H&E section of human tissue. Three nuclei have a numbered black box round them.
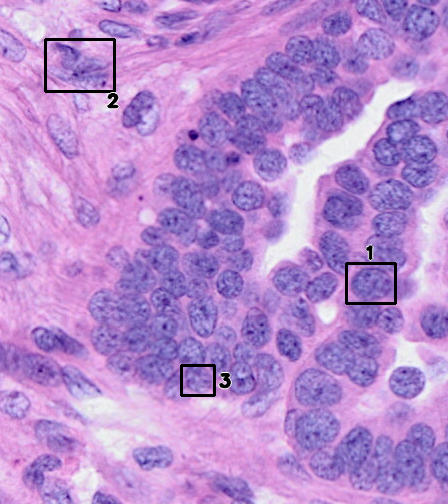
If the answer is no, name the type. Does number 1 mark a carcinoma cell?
Yes.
